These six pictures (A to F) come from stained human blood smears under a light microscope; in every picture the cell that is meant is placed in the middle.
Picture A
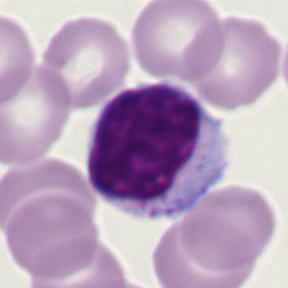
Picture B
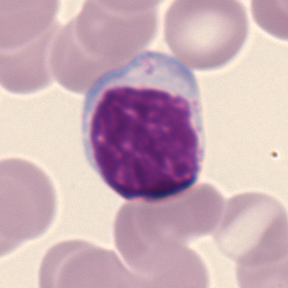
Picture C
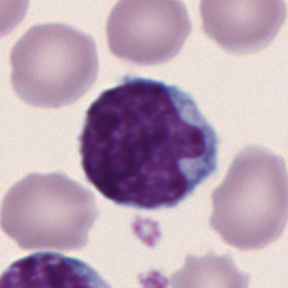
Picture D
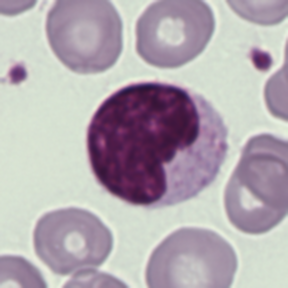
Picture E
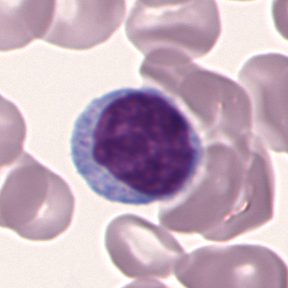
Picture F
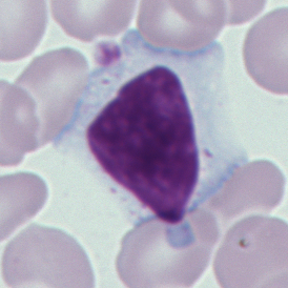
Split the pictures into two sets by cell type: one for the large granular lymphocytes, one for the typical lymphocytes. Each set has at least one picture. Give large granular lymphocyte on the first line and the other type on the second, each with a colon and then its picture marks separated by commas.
large granular lymphocyte: B, D, F
typical lymphocyte: A, C, E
